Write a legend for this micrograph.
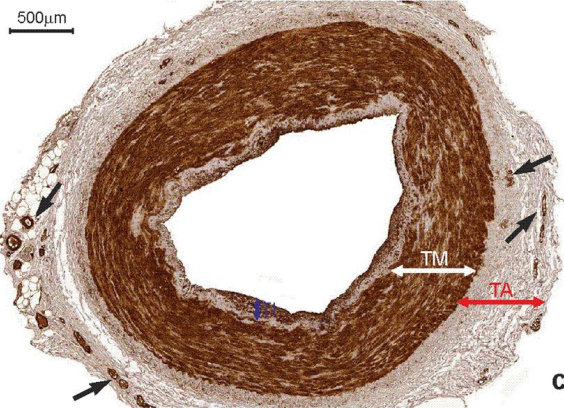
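Here a cross-section of an artery shows a broad, dark brown middle layer made of tightly packed smooth muscle cells arranged in rings around the lumen. The lumen is large and irregular, lined by a thin, lighter inner layer. Outside the muscle layer the wall becomes a loose, pale, fibrous outer coat with fat cells at one side. Scattered in this outer coat are small blood vessels seen as small brown rings.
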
